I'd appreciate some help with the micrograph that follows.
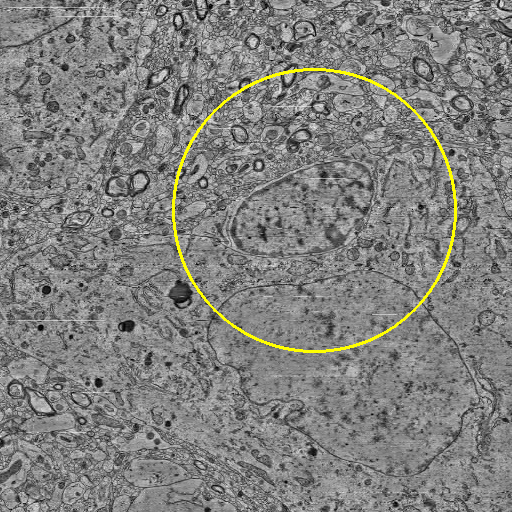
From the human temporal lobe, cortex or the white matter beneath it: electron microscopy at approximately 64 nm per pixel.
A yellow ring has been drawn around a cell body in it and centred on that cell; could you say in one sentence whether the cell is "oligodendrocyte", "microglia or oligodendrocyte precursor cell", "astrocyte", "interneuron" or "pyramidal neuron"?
It is a microglial cell or oligodendrocyte precursor cell at the centre of the ring.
